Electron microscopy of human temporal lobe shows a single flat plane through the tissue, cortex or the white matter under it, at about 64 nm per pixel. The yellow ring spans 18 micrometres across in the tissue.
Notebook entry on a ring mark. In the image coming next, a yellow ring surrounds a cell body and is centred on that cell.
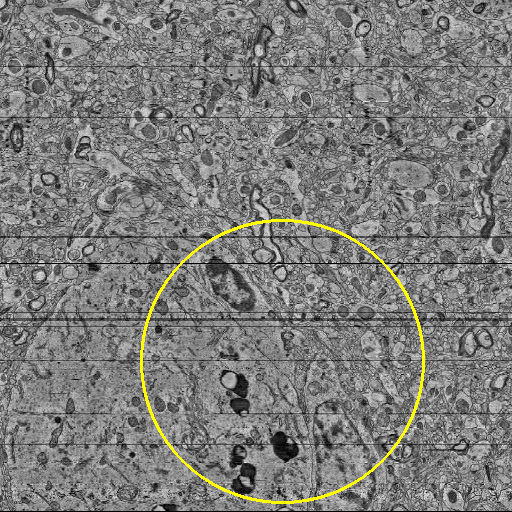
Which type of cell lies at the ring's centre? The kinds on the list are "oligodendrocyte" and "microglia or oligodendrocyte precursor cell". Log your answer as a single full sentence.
Centred in the yellow ring is a microglial cell or oligodendrocyte precursor cell, the cell recorded for this image.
